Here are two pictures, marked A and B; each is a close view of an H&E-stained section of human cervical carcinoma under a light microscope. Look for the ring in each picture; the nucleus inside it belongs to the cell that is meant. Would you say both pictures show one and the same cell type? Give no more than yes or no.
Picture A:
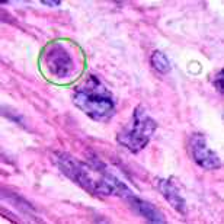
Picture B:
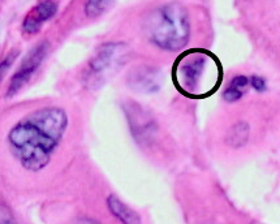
no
